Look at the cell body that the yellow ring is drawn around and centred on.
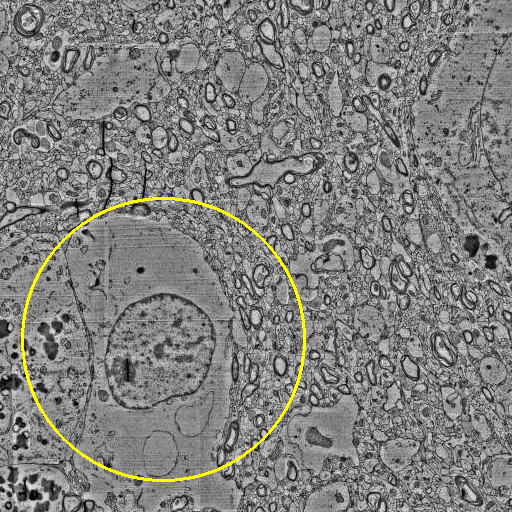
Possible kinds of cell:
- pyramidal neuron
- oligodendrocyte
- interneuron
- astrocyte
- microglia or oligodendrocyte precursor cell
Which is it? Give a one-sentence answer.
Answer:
The centred cell body is that of an astrocyte.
